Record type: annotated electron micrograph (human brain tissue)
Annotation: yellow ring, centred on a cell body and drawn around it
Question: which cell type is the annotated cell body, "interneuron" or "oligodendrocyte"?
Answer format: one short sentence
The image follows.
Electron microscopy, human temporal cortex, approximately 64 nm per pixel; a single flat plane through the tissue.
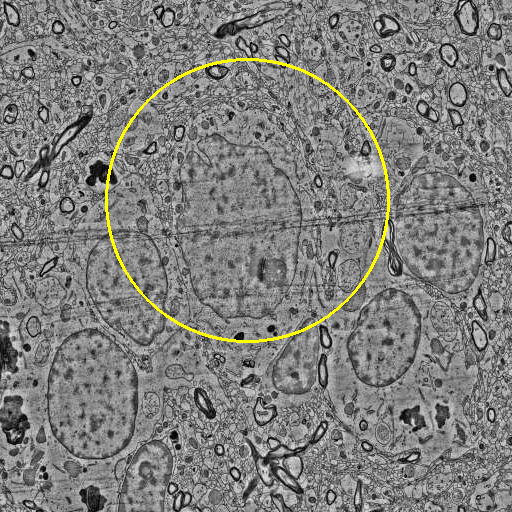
The annotated cell body is that of an interneuron.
